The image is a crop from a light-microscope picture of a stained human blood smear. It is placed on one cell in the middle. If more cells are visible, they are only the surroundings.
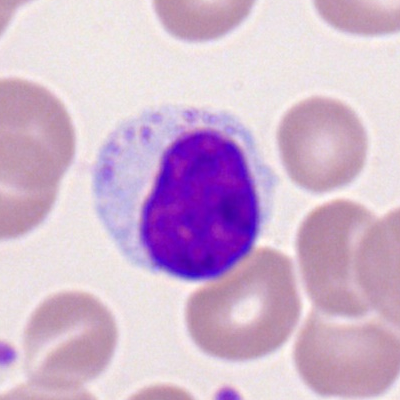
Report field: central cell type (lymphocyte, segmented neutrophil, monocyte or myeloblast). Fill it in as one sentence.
Within this crop, a lymphocyte occupies the central position.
